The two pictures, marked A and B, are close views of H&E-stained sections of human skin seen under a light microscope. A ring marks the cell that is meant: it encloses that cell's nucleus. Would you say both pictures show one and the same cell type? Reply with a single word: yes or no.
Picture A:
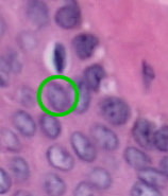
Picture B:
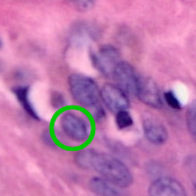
no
